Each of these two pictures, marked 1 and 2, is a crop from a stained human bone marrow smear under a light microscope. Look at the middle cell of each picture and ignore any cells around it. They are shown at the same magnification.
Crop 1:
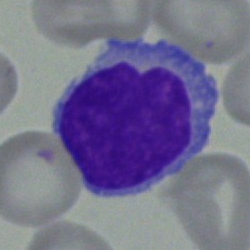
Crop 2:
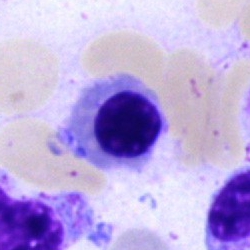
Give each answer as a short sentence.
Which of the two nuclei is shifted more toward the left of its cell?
It is the nucleus in crop 1 that lies further toward the left of its cell.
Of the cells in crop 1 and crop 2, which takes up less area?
Crop 2 holds the smaller cell, since the cell in crop 1 covers about 2.5 times as much area.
